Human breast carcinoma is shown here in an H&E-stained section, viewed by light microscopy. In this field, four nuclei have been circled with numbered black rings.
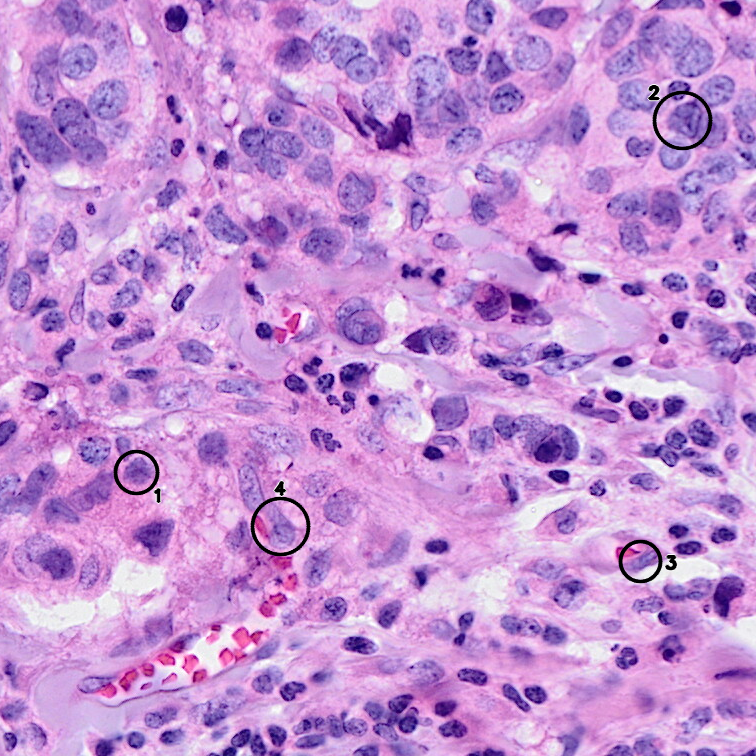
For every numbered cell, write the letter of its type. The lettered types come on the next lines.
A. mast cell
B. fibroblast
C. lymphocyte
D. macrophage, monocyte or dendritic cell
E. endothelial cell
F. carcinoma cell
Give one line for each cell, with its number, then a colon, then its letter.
1: F
2: F
3: E
4: E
